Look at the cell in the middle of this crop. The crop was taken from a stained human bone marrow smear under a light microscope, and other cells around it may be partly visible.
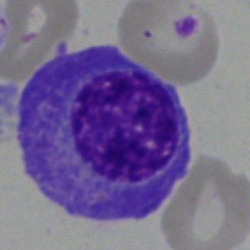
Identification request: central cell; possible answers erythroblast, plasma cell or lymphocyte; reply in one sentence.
The cell in the middle of this crop is a plasma cell.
